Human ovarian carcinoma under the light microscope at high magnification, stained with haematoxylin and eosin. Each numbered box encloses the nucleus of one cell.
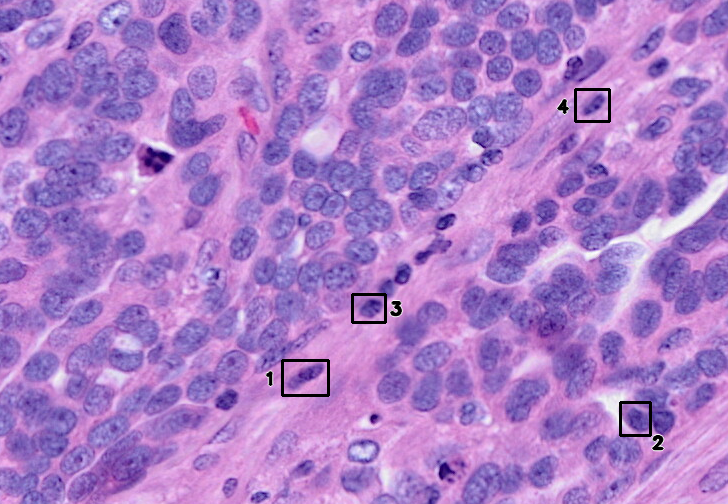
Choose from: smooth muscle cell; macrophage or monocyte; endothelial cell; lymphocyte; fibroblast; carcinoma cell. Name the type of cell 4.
lymphocyte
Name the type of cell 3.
lymphocyte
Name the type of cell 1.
lymphocyte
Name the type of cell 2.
carcinoma cell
